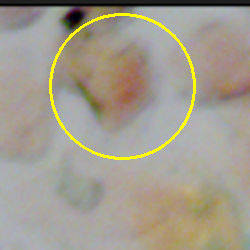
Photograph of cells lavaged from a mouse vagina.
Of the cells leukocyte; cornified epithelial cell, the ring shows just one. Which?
The ring shows a cornified epithelial cell.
